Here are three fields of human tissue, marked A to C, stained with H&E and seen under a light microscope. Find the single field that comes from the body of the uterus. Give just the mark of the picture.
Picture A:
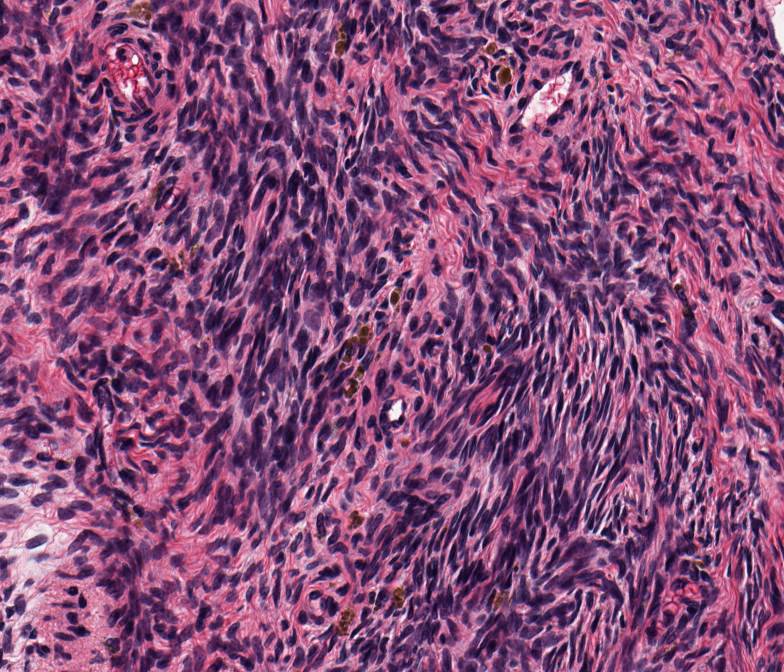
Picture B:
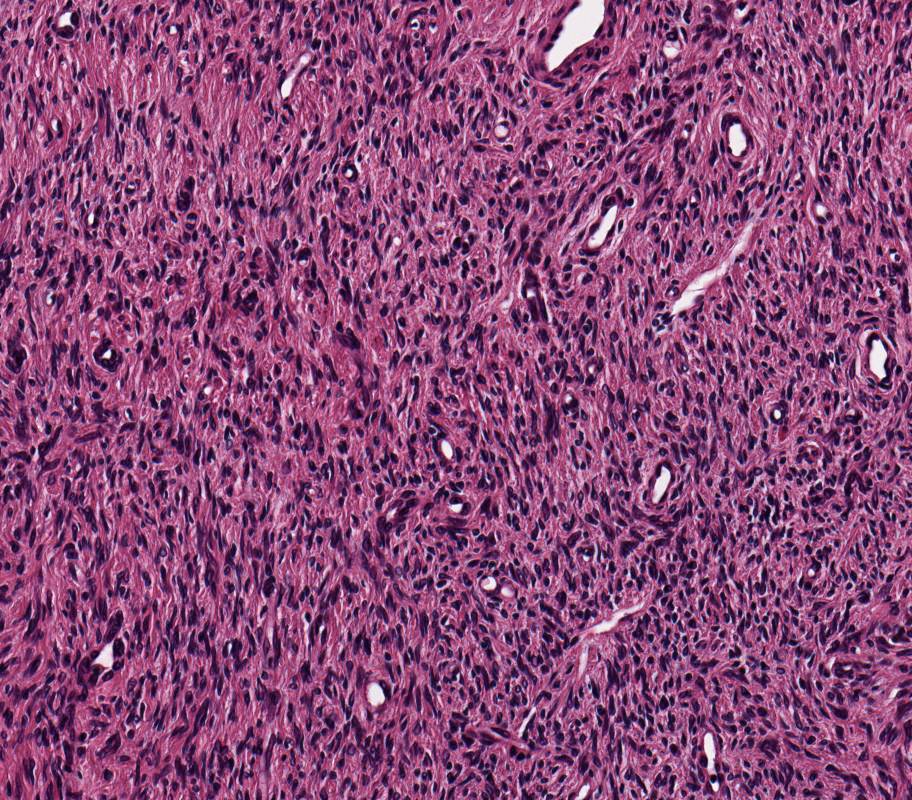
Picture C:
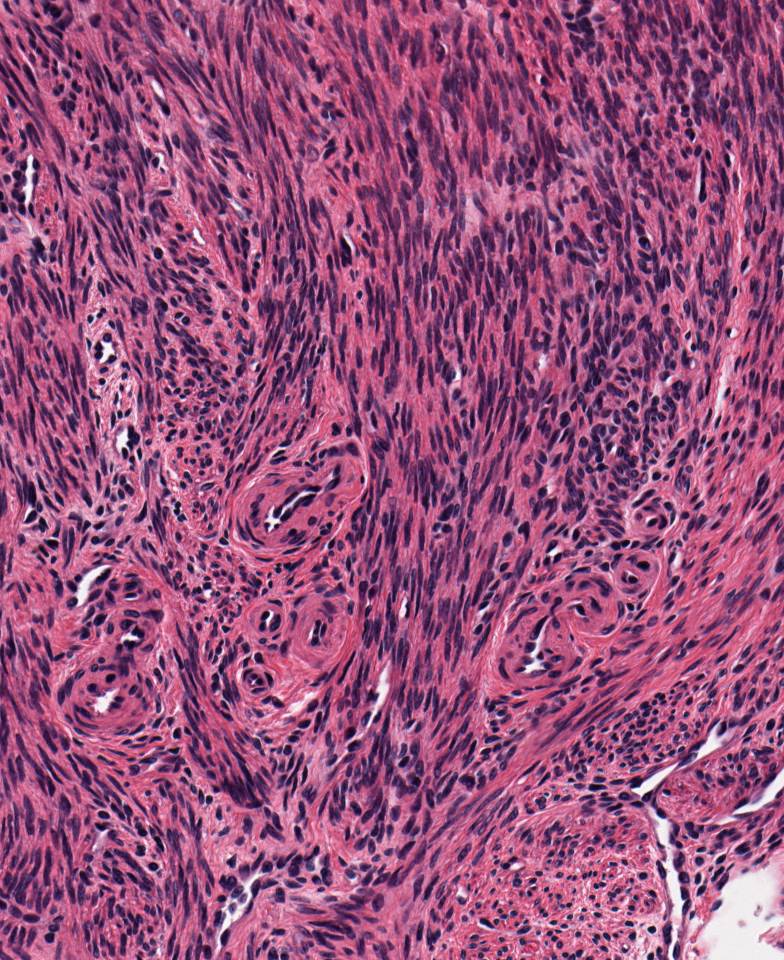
C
